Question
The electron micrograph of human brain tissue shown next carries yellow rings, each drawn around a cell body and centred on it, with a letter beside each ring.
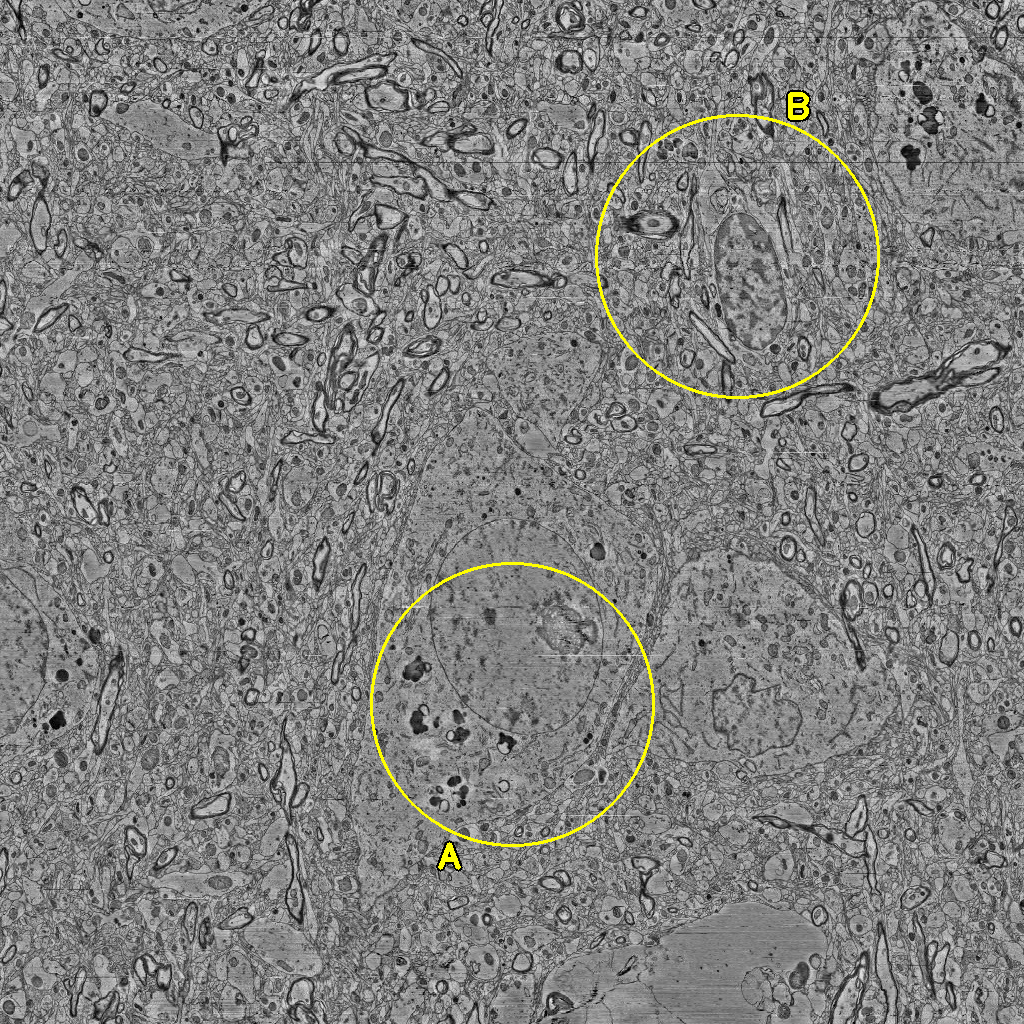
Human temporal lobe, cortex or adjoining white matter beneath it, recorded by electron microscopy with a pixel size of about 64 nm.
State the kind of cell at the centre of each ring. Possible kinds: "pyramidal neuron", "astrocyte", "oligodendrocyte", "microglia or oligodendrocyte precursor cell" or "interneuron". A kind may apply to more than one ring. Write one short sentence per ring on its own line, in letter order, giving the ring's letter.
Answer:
The cell centred in ring A is a pyramidal neuron.
The cell centred in ring B is a microglial cell or oligodendrocyte precursor cell.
